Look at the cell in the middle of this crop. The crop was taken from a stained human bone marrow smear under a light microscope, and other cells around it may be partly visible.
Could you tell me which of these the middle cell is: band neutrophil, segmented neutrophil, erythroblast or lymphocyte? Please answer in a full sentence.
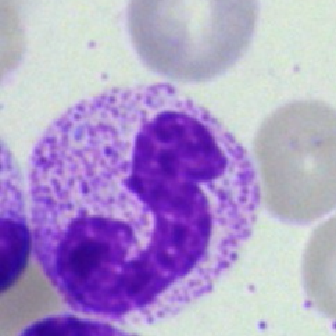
Centrally within this crop lies a segmented neutrophil.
